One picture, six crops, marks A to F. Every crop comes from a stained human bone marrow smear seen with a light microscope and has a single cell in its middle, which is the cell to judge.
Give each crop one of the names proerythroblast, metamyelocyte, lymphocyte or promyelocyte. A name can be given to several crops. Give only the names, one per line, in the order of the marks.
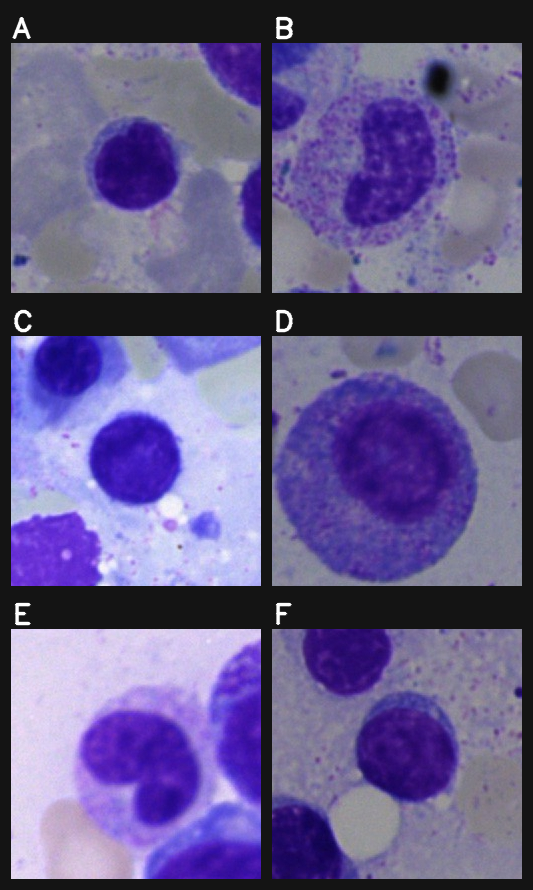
lymphocyte
metamyelocyte
lymphocyte
promyelocyte
metamyelocyte
lymphocyte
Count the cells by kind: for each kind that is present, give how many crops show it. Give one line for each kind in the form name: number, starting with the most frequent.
lymphocyte: 3
metamyelocyte: 2
promyelocyte: 1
